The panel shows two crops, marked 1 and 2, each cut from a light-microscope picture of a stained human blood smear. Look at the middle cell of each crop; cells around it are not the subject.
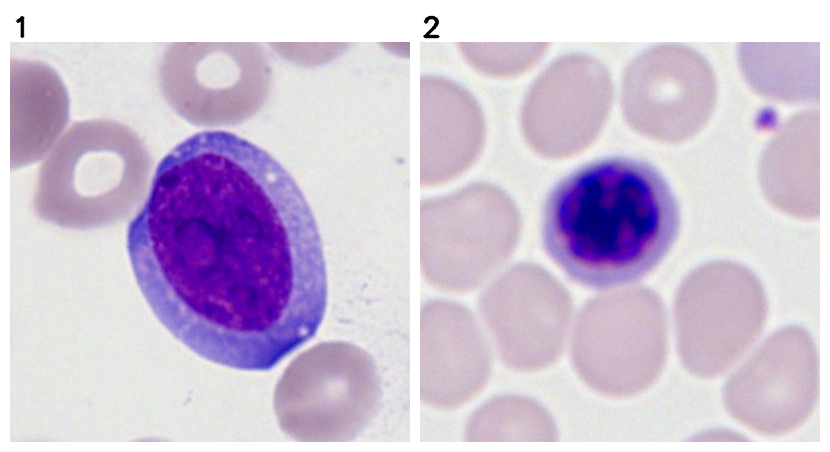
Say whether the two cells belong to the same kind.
no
